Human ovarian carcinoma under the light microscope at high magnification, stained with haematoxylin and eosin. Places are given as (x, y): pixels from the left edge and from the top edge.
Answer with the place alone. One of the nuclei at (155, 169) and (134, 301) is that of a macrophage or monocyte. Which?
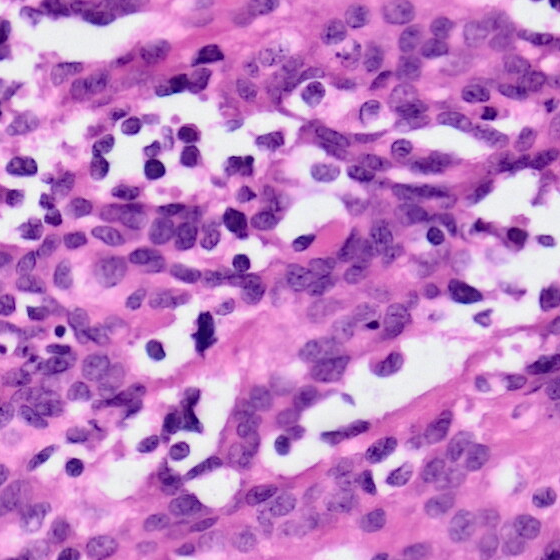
(134, 301)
